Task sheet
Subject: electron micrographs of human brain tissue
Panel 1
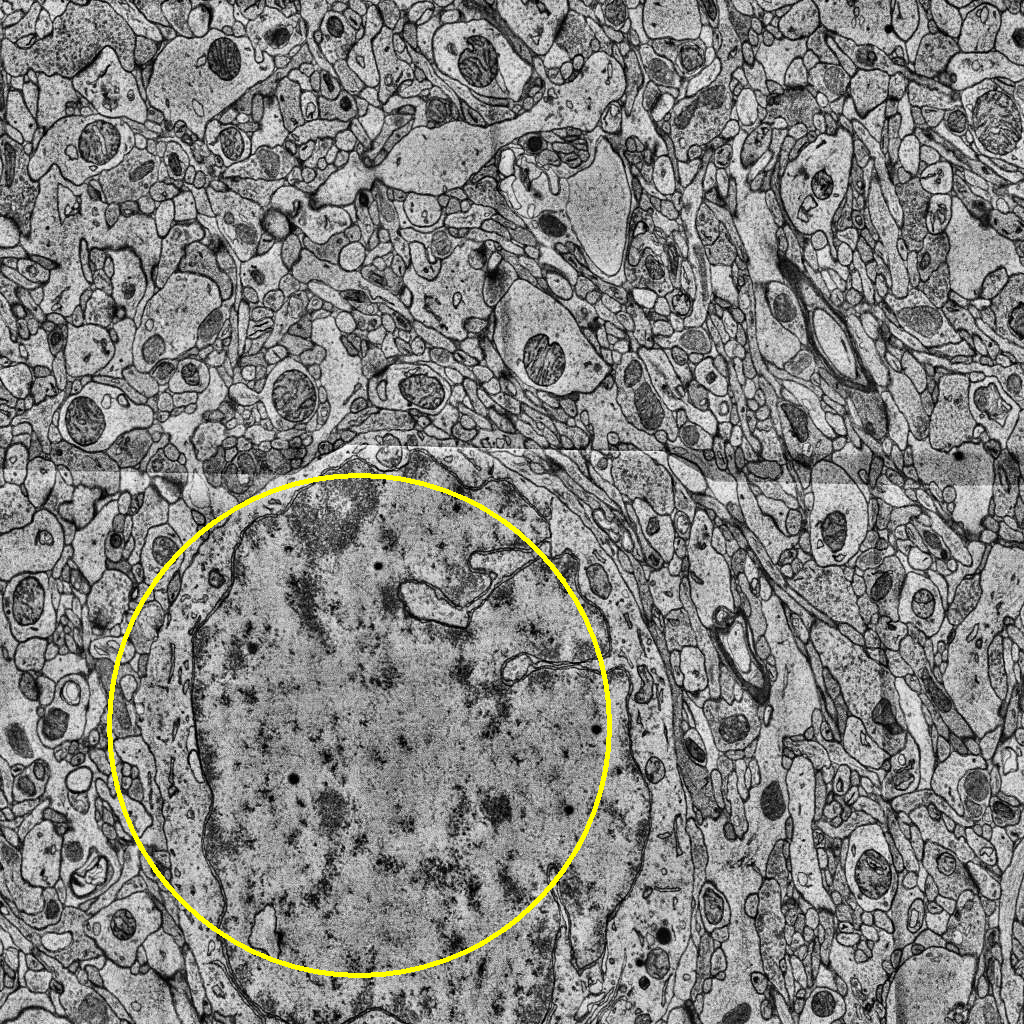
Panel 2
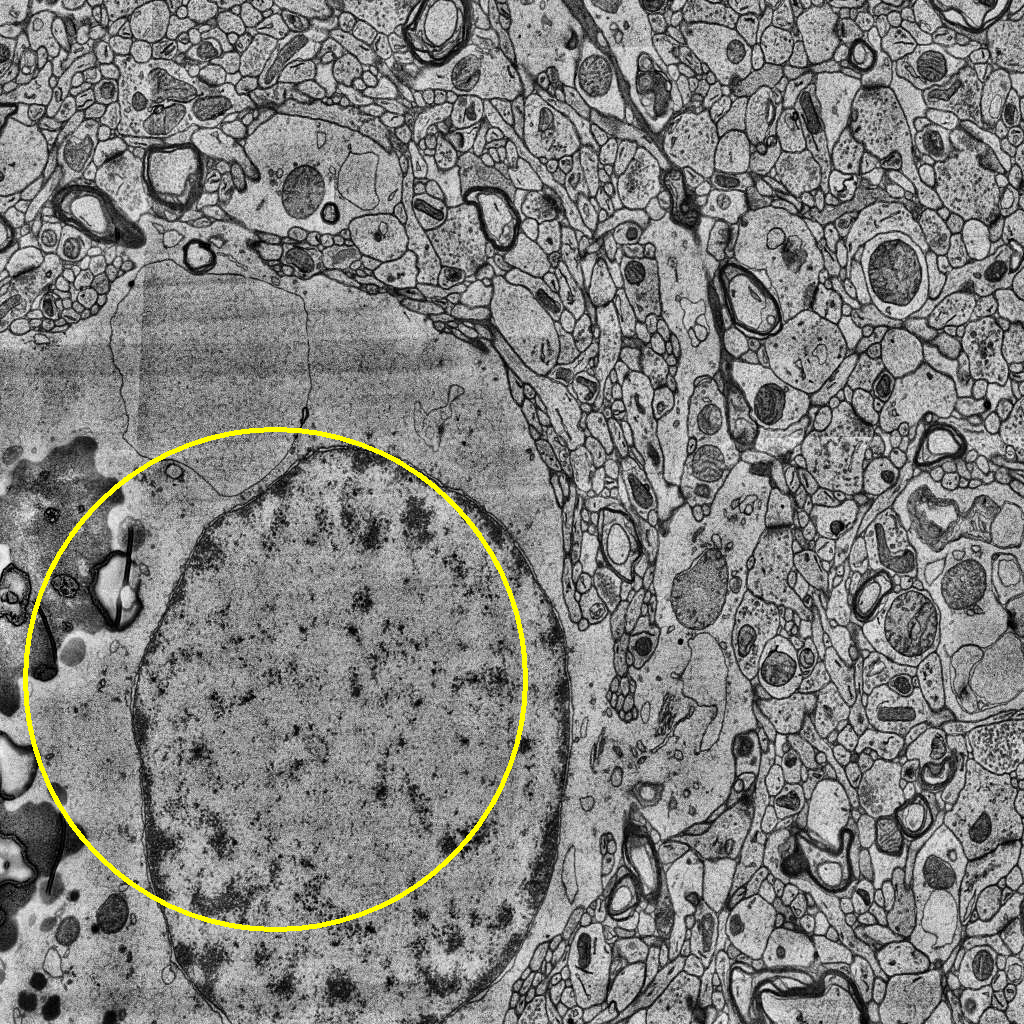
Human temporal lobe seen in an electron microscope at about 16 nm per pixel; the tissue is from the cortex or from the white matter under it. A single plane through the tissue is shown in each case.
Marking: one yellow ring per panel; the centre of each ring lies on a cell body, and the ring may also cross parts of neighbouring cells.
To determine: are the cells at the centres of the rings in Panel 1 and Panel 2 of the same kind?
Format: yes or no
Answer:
no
